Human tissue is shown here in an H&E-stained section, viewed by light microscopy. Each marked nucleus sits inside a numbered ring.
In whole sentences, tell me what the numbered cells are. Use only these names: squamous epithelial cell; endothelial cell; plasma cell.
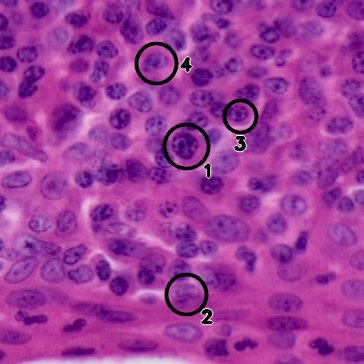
Cells 1, 3 and 4 are plasma cells. Cell 2 is a squamous epithelial cell.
